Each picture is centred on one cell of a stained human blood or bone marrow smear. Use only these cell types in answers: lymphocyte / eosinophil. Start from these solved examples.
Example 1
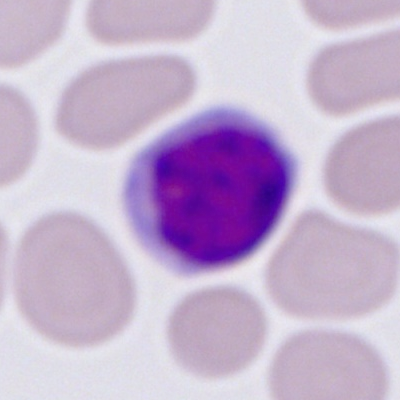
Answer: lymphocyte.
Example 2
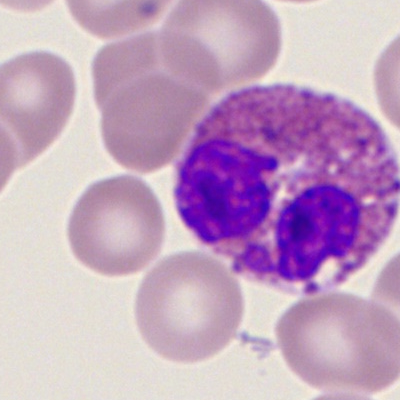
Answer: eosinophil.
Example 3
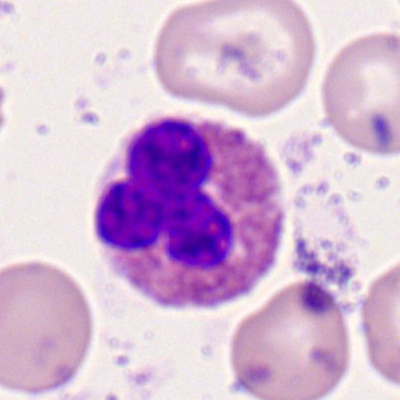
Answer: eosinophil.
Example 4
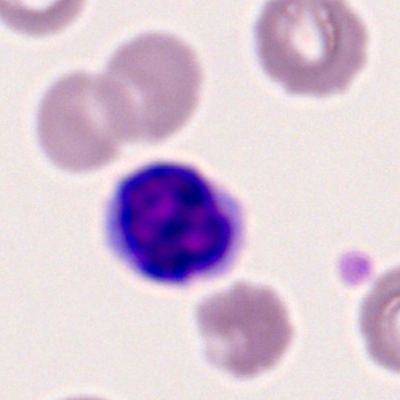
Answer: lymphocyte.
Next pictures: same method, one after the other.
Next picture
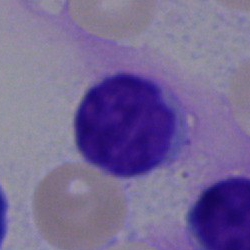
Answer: lymphocyte.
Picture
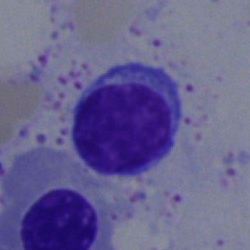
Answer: lymphocyte.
